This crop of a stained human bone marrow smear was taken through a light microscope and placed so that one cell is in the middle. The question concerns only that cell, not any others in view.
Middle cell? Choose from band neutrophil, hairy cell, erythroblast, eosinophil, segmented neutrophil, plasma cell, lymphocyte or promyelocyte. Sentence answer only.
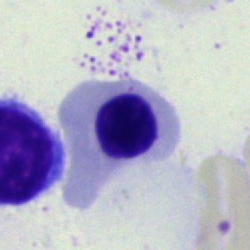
Positioned in the middle of the crop is an erythroblast.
